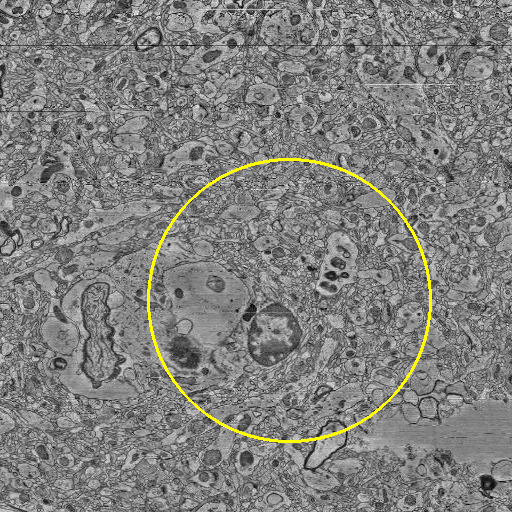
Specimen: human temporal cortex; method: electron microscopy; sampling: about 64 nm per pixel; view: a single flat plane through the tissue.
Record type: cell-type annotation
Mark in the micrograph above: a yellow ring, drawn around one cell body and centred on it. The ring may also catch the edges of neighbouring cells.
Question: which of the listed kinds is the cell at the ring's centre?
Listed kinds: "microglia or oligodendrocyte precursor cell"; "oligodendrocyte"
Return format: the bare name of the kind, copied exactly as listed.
microglia or oligodendrocyte precursor cell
